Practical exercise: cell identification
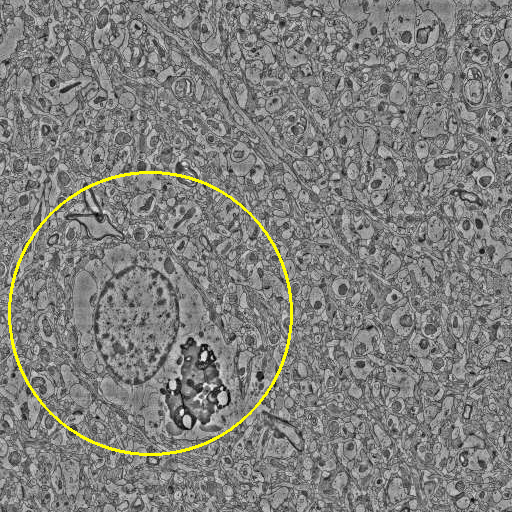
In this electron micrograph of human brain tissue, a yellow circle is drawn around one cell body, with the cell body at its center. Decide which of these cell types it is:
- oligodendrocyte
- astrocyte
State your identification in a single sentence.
The ringed cell is an astrocyte.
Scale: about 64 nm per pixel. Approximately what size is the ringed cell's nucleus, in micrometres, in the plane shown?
The nucleus works out at approximately 8 by 5 micrometres in this plane.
